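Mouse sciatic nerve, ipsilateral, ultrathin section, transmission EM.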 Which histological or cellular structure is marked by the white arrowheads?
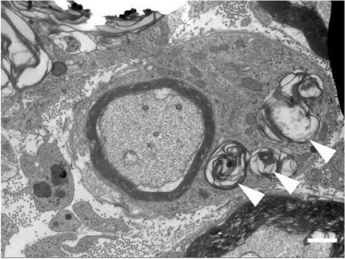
Myelin debris.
